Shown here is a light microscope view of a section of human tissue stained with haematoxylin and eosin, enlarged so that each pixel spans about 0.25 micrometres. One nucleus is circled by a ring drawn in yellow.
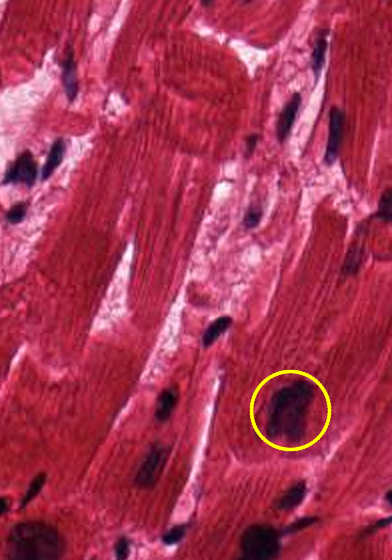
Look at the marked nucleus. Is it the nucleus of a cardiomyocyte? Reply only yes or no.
yes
